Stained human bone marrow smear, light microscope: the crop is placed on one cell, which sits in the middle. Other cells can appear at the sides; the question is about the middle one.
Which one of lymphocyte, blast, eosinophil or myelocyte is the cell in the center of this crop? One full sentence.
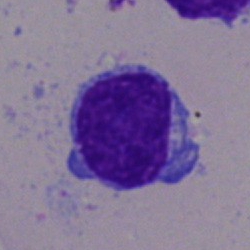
The central cell in this smear crop is a lymphocyte.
